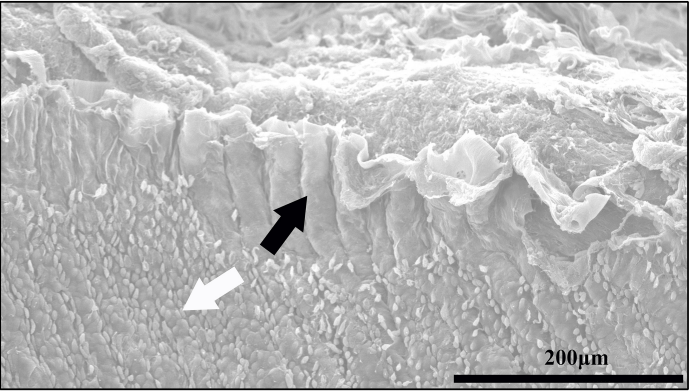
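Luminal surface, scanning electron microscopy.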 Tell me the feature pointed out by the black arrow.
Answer: internal elastic lamina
